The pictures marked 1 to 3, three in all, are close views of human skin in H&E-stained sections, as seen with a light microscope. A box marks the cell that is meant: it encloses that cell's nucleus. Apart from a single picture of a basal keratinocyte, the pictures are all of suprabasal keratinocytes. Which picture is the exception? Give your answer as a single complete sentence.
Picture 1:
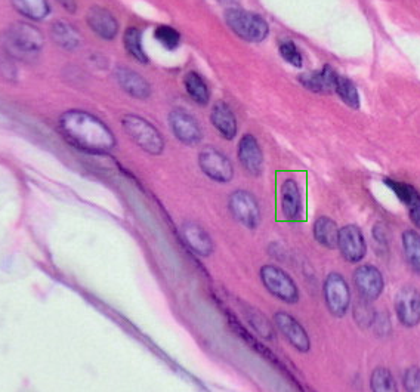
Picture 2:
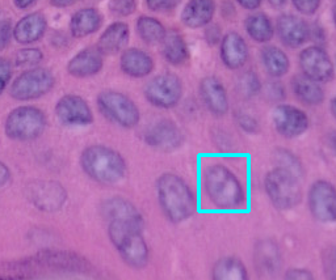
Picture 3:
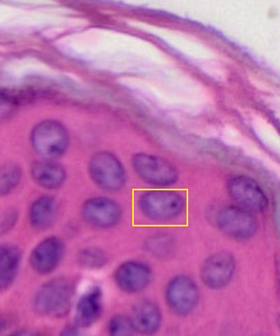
Picture 1 is the one that shows the basal keratinocyte.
